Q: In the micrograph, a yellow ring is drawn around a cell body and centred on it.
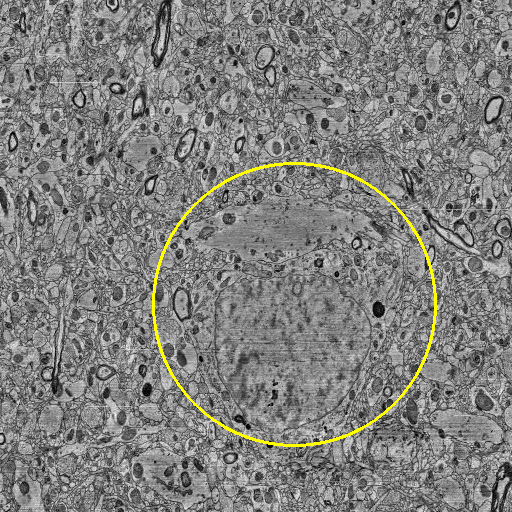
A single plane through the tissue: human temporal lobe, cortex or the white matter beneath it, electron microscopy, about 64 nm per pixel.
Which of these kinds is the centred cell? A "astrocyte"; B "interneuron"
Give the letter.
B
